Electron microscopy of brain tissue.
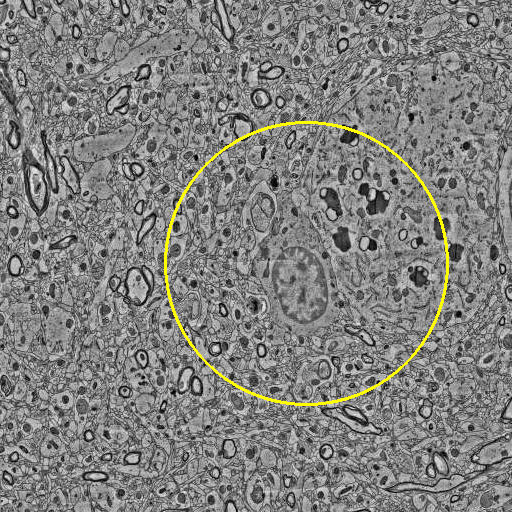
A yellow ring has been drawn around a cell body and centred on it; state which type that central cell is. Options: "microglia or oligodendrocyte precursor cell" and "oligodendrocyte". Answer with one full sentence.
The cell at the middle of the yellow ring is an oligodendrocyte in this picture.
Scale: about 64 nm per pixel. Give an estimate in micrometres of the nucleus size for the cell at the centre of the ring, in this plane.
In this plane the nucleus measures roughly 5 by 3 micrometres.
